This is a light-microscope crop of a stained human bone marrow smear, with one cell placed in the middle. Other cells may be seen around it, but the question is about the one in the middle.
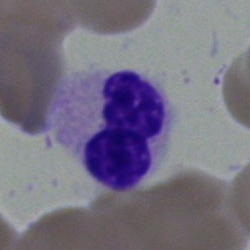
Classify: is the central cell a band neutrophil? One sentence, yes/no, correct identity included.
No, it is a segmented neutrophil rather than a band neutrophil that the middle of the crop contains.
